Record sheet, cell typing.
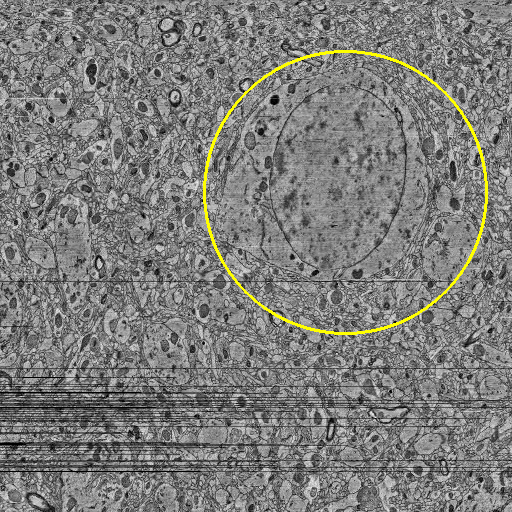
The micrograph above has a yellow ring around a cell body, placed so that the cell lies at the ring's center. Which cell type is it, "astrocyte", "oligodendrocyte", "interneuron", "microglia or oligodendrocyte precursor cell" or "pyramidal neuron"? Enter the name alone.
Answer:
pyramidal neuron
